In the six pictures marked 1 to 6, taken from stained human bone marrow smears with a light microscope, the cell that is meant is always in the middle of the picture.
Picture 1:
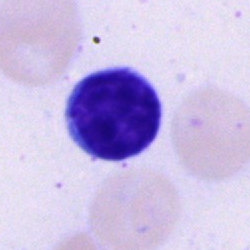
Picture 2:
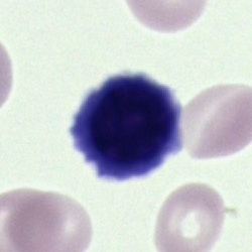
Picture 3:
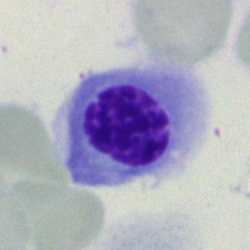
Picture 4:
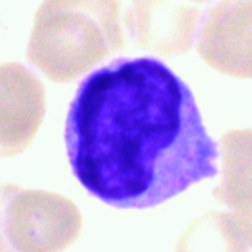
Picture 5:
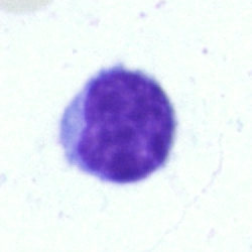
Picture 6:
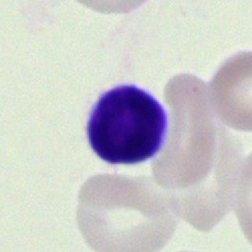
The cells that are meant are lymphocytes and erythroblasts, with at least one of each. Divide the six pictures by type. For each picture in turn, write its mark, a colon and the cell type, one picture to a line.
1: lymphocyte
2: erythroblast
3: erythroblast
4: lymphocyte
5: lymphocyte
6: lymphocyte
